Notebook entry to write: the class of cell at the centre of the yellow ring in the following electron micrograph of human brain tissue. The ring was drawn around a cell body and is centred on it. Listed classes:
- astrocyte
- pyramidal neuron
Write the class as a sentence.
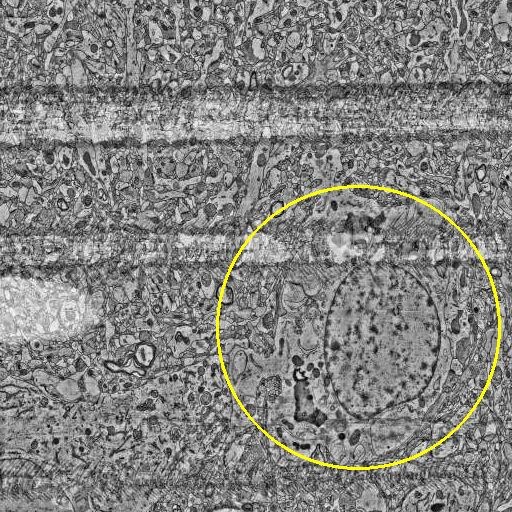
The yellow ring sits on an astrocyte.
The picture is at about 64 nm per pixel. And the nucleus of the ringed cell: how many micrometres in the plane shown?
About 10 by 7 micrometres in this plane.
